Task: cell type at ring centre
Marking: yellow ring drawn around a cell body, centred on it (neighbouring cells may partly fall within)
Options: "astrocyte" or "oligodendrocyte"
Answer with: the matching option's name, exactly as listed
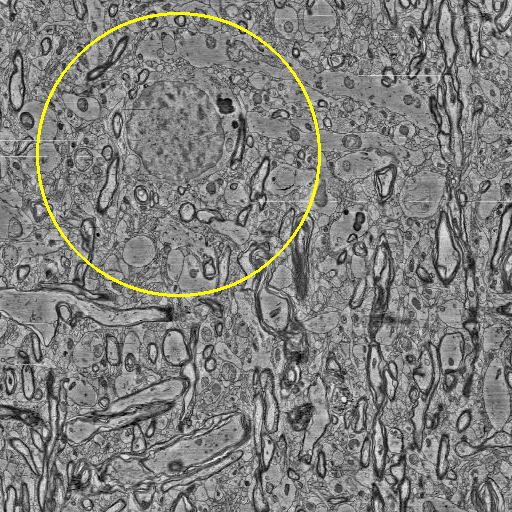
oligodendrocyte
